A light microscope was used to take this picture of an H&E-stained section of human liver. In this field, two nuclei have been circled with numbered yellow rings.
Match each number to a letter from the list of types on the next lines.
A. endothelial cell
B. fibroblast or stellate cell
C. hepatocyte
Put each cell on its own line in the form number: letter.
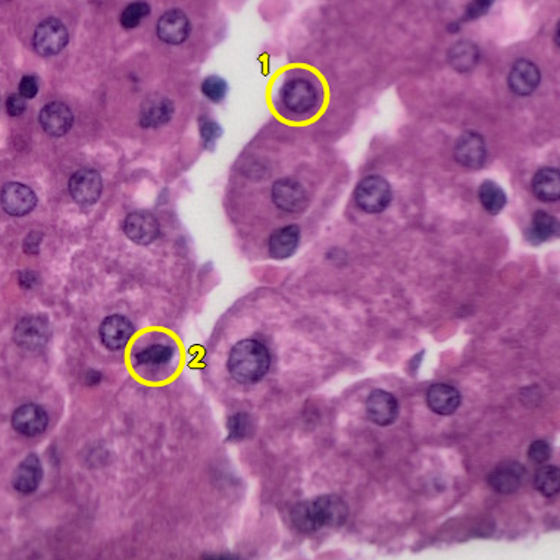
1: C
2: B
